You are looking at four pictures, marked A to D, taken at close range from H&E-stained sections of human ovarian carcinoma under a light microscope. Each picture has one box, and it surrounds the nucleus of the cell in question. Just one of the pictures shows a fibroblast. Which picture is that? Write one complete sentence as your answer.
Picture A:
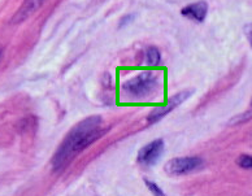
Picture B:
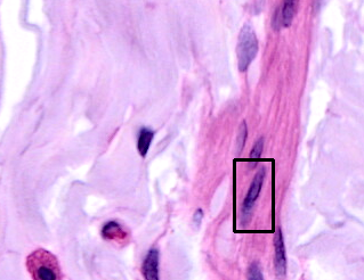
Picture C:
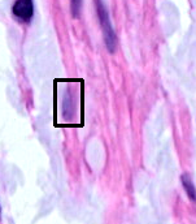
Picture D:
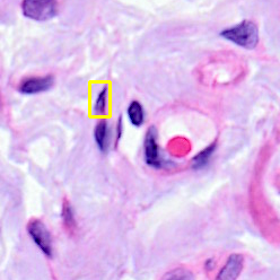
Picture D shows the fibroblast.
